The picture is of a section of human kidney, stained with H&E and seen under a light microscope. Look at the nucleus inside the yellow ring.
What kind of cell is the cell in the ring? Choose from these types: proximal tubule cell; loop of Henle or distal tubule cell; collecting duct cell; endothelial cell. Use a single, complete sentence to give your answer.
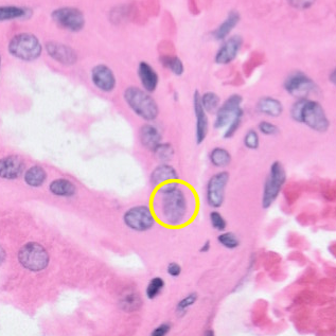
In this tissue section, the cell in the ring is to be classed as a collecting duct cell.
